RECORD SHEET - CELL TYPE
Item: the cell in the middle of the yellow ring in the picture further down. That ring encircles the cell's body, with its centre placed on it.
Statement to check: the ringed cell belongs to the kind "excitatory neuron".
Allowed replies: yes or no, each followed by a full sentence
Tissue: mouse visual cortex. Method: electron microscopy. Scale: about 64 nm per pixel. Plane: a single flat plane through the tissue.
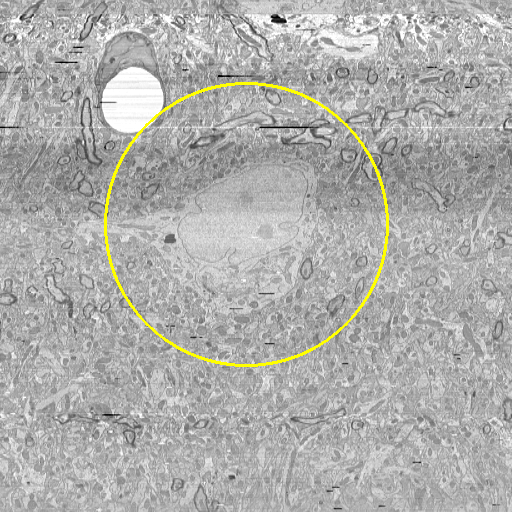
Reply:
Yes, the cell held at the centre of the ring in the picture is of that kind.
